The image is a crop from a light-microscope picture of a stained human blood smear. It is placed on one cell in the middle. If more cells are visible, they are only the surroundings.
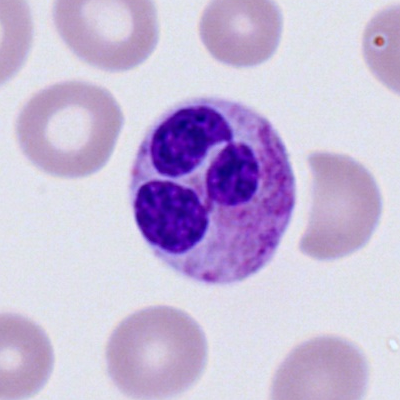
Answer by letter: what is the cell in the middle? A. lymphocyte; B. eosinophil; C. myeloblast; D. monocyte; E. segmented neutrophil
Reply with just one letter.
B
